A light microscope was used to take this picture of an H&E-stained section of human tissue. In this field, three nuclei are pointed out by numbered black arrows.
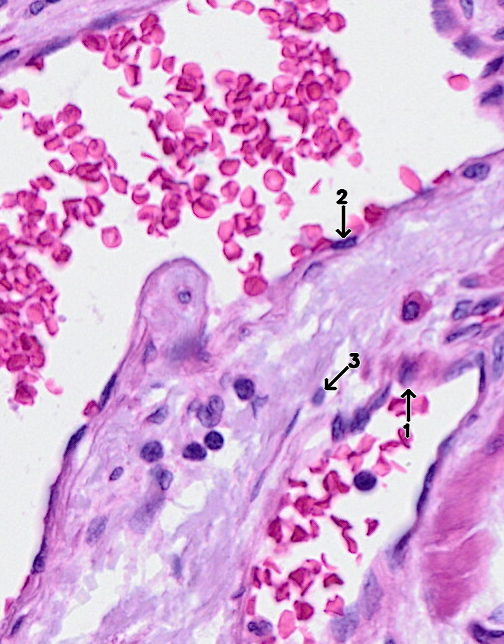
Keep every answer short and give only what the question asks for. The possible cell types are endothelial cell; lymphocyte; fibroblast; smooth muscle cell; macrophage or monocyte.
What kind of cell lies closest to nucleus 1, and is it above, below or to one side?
an endothelial cell; below and to the left of nucleus 1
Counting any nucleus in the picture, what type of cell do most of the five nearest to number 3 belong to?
endothelial cell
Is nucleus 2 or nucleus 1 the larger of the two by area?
1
